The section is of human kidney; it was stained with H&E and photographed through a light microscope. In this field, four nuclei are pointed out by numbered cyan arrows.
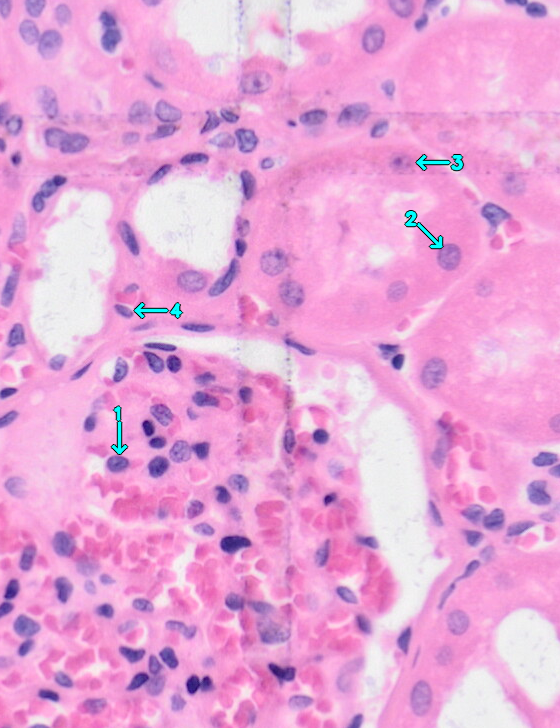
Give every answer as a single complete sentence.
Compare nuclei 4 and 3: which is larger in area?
Of the two, number 3 is bigger and takes up about 3 times the area of number 4.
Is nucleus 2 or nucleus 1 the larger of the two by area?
Nucleus 2 is the larger one, covering about 1.5 times the area of nucleus 1.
